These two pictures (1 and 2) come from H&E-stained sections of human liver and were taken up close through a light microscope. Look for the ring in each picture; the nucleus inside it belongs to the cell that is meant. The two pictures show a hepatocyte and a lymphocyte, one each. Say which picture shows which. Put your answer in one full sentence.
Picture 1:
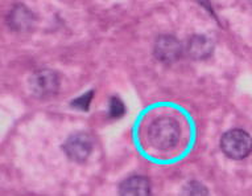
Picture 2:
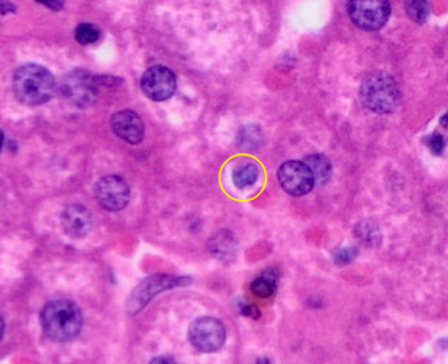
The cell in picture 1 is a hepatocyte, and the one in picture 2 is a lymphocyte.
